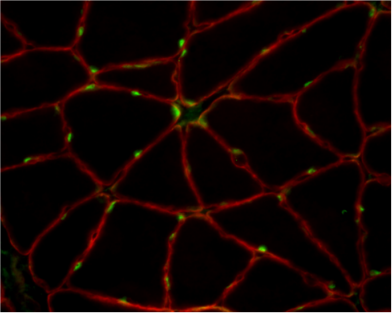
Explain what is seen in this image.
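This is a cross-section of skeletal muscle, showing muscle fibres cut across. Each fibre appears as a dark, rounded-to-polygonal field bounded by a thin red outline, and the fibres fit tightly against one another like paving stones, with only narrow gaps between neighbouring outlines. Scattered along these red borders are many small, bright green spots, elongated or oval, sitting at the periphery of the fibres rather than in their centres. The interior of each fibre is dark and uniform, with no green in the middle.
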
